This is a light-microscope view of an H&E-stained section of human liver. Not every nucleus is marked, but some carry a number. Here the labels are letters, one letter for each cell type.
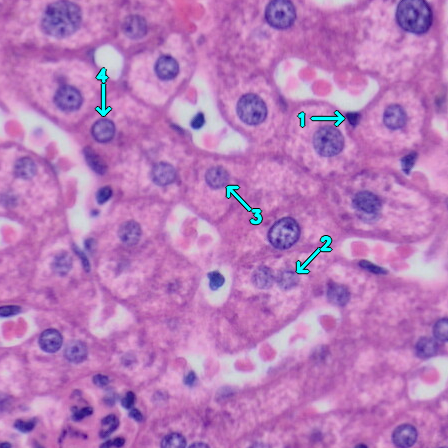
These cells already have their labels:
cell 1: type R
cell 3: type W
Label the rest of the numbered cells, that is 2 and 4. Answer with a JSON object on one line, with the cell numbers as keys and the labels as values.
{"2": "type W", "4": "type W"}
